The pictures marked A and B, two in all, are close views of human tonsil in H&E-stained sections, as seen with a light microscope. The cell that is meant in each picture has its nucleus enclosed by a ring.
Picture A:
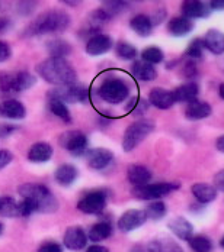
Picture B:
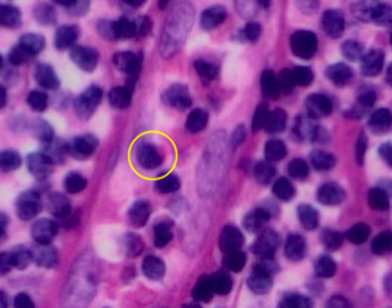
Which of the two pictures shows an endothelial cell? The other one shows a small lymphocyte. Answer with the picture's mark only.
B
